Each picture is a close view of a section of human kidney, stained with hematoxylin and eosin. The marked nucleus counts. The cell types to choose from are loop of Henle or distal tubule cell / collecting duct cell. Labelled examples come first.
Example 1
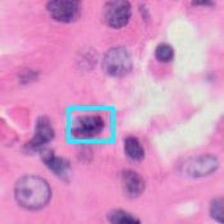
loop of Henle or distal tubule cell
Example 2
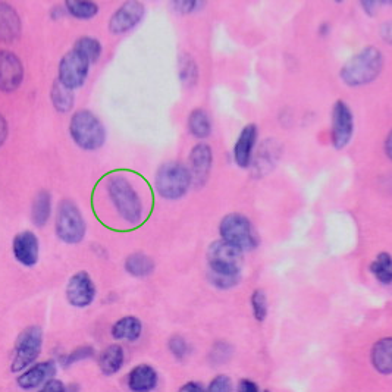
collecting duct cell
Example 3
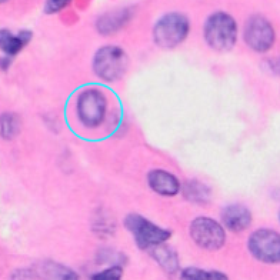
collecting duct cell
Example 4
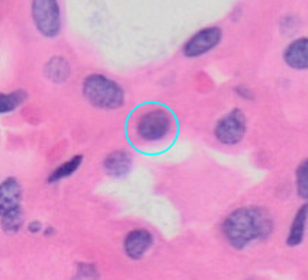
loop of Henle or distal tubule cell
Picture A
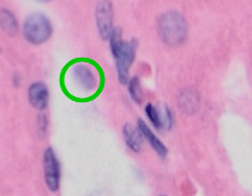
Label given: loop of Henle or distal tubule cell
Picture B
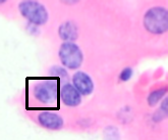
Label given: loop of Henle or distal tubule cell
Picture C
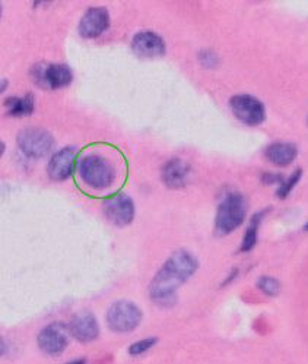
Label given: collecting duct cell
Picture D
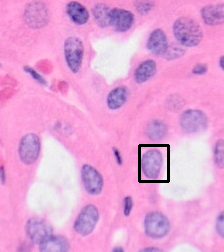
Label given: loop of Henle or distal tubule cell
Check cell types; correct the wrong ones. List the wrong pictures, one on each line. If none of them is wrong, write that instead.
Wrong: B (loop of Henle or distal tubule cell); correct: collecting duct cell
